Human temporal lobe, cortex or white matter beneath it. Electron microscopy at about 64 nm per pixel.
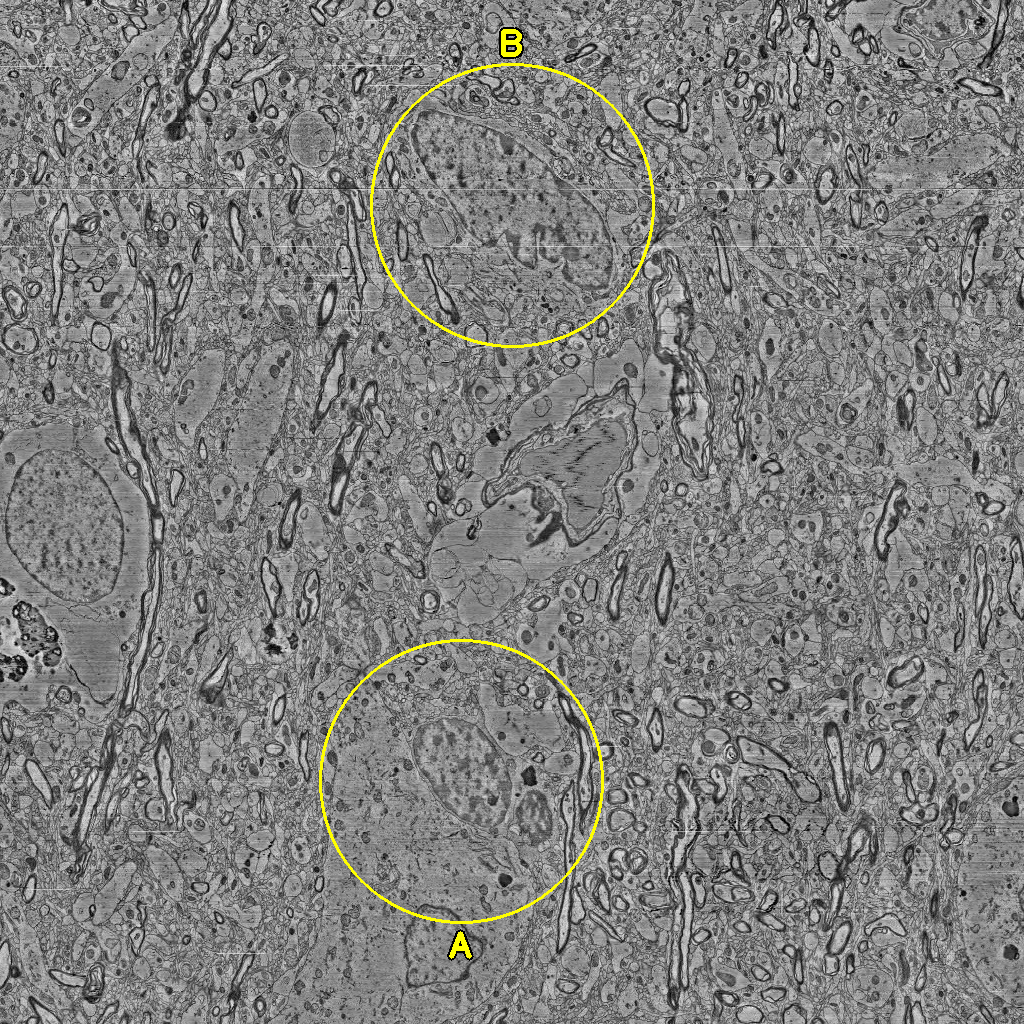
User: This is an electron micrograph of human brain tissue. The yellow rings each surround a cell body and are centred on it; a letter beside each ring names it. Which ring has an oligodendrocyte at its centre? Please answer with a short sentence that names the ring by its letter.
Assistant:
Ring A has it at its centre.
